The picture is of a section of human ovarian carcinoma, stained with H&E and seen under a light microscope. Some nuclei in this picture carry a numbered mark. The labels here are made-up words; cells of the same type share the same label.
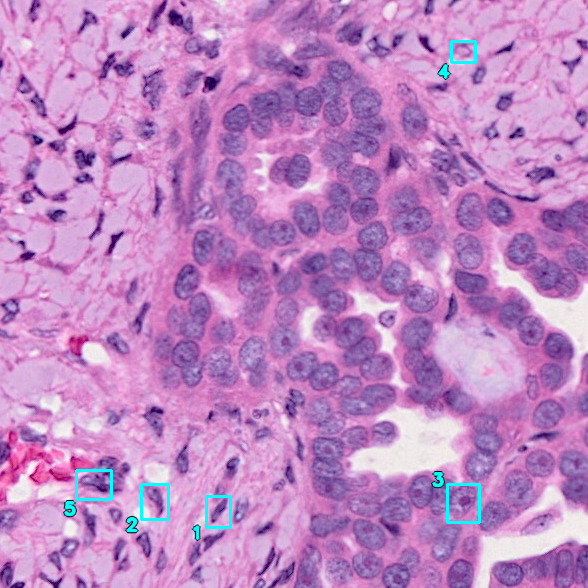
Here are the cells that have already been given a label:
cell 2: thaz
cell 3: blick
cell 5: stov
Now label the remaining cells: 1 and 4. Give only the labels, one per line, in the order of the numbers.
thaz
thaz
